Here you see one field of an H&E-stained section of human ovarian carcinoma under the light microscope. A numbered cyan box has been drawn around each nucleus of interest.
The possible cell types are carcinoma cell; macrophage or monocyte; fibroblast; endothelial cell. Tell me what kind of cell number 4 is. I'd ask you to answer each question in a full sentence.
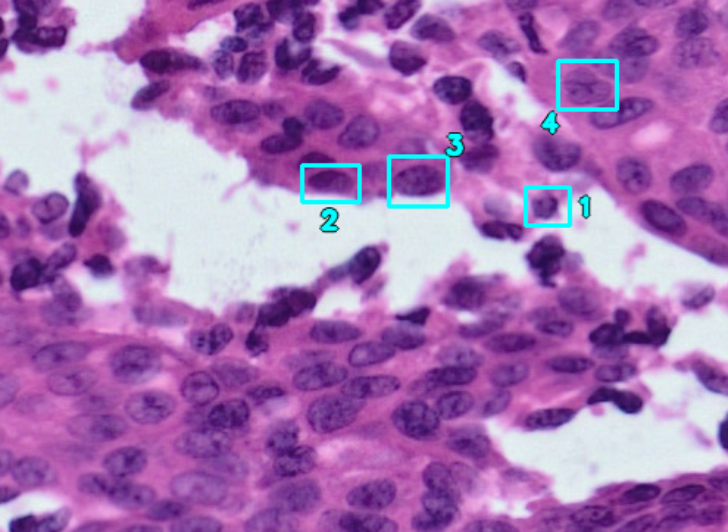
The cell referred to as 4 is a carcinoma cell.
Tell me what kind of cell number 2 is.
Looking at the numbered marks, cell 2 is a carcinoma cell.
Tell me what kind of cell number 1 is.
The cell identified by number 1 is a macrophage or monocyte.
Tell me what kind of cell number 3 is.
The label 3 in this section denotes a carcinoma cell.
